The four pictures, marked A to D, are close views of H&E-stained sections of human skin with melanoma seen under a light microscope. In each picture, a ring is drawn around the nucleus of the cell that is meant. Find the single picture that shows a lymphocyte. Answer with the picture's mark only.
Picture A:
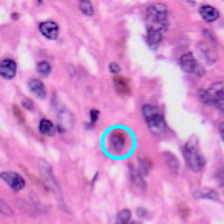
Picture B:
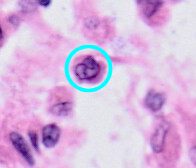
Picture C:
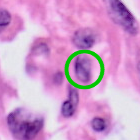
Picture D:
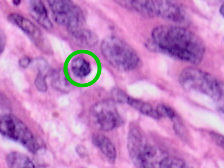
D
